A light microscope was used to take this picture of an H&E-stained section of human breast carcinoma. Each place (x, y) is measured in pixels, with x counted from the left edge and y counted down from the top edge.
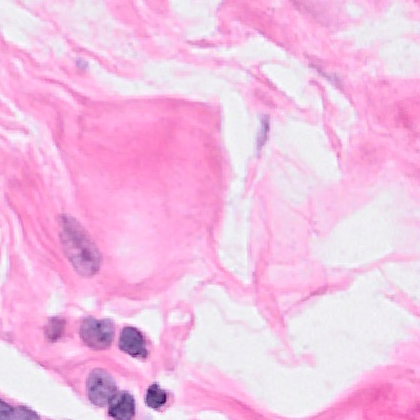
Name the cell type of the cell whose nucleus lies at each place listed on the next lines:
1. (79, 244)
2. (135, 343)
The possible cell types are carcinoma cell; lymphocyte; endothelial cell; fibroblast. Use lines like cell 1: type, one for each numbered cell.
cell 1: fibroblast
cell 2: carcinoma cell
